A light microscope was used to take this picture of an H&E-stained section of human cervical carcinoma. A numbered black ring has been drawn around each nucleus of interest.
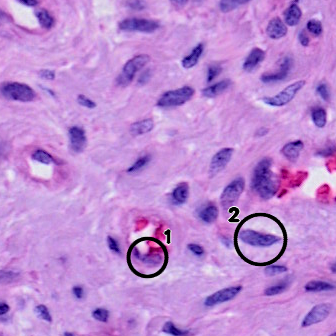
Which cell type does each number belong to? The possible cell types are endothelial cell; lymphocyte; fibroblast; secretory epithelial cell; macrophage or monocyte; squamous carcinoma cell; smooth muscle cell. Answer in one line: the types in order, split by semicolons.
endothelial cell; fibroblast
